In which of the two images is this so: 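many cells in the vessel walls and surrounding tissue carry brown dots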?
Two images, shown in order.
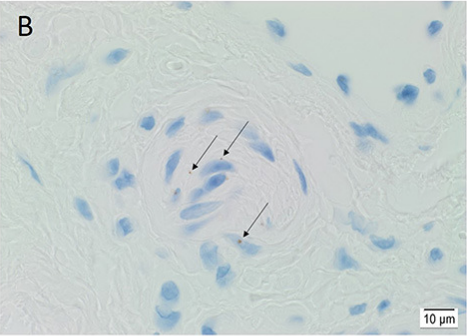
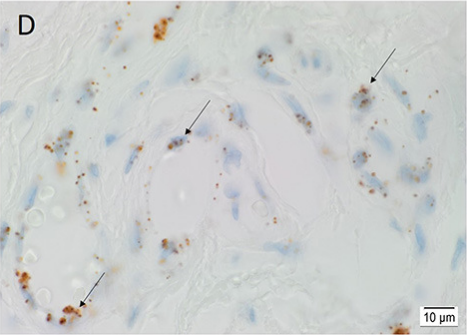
The second image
